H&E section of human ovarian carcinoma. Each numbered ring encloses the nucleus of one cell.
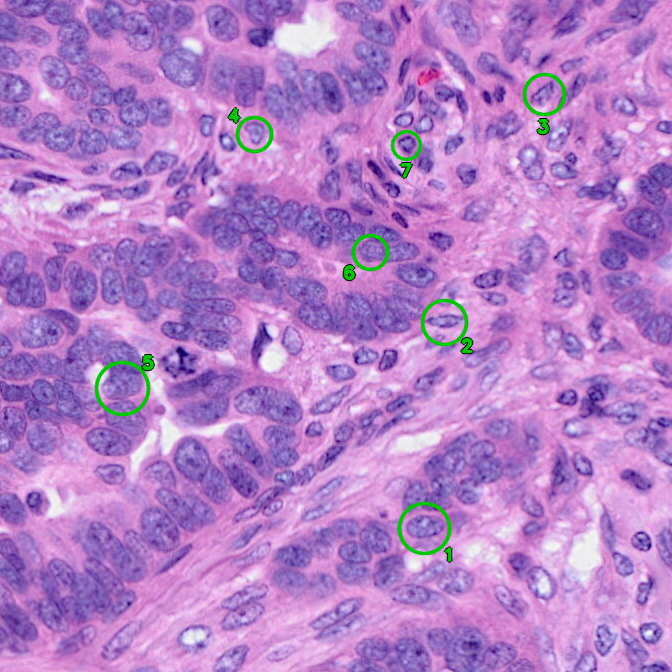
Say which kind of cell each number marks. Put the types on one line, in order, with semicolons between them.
carcinoma cell; fibroblast; fibroblast; fibroblast; carcinoma cell; carcinoma cell; endothelial cell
